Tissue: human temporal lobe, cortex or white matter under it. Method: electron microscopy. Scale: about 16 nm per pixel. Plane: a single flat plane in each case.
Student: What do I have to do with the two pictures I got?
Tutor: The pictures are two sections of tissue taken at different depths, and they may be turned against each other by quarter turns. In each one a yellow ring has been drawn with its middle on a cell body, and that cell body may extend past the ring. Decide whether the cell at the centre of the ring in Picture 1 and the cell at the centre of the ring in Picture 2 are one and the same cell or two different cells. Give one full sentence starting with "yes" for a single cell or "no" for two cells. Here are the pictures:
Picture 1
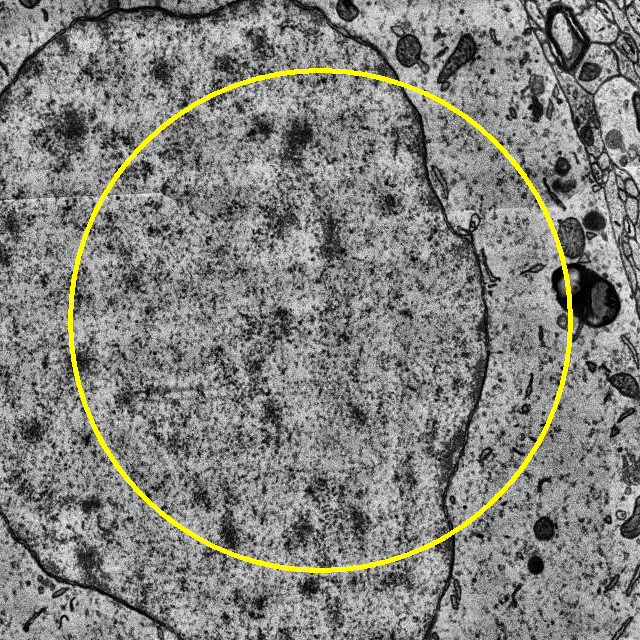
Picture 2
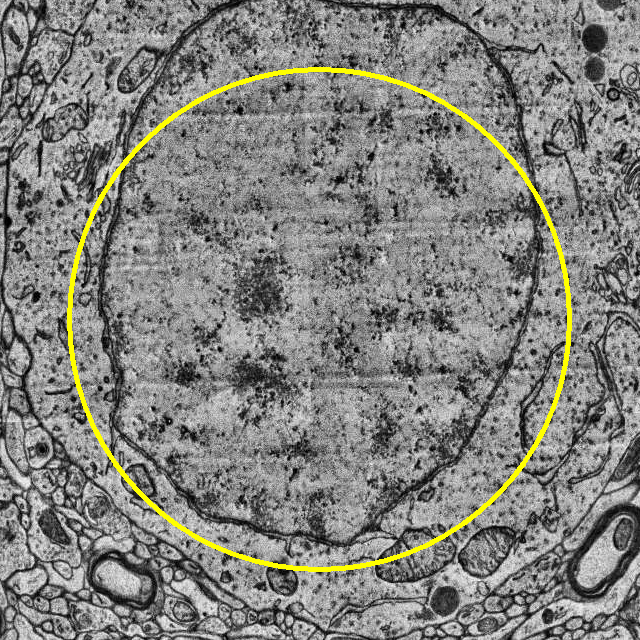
No, in this micrograph the two rings mark two different cells.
